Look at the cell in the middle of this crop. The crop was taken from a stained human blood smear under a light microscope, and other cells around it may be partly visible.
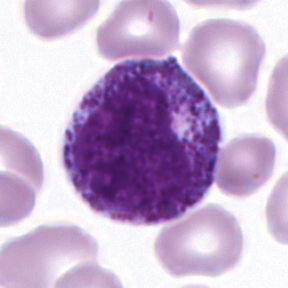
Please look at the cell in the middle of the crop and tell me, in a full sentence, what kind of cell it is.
At the middle of the frame sits a promyelocyte.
